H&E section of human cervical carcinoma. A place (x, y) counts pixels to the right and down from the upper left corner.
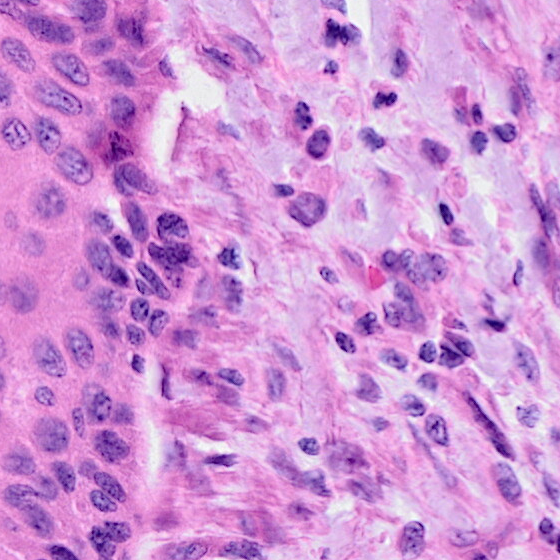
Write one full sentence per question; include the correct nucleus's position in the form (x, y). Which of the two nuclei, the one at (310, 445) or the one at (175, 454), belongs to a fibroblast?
Identified as belonging to a fibroblast is the nucleus at (175, 454).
